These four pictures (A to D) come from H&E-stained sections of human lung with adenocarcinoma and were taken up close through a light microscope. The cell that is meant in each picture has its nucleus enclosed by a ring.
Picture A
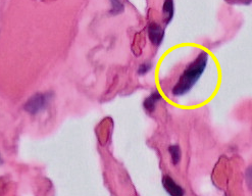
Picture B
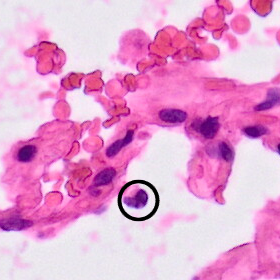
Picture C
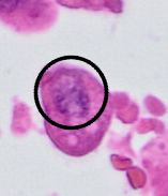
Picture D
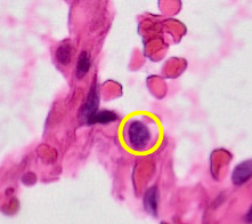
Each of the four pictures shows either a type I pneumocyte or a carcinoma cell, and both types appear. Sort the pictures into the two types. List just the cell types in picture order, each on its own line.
type I pneumocyte
type I pneumocyte
carcinoma cell
type I pneumocyte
